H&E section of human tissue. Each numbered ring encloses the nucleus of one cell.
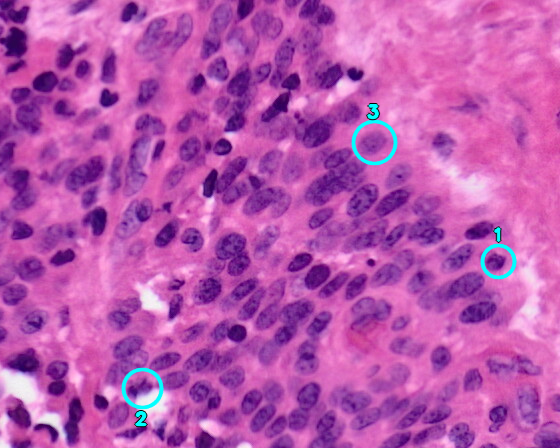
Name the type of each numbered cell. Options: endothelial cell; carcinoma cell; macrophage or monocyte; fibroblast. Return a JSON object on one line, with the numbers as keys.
{"1": "macrophage or monocyte", "2": "carcinoma cell", "3": "carcinoma cell"}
